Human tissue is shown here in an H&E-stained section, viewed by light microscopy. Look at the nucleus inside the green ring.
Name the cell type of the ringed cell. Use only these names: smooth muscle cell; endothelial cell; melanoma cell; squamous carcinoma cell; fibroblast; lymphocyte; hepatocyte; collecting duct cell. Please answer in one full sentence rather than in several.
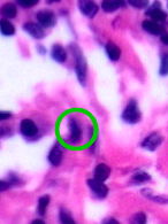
Among the cells in this section, the ringed cell is an endothelial cell.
